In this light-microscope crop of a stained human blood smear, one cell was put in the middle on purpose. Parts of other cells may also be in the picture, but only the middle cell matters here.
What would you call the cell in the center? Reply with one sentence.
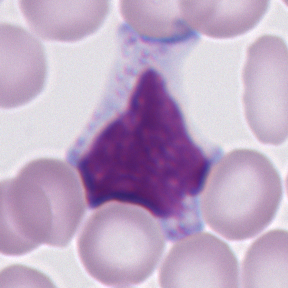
The central cell in this smear crop is a lymphocyte.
